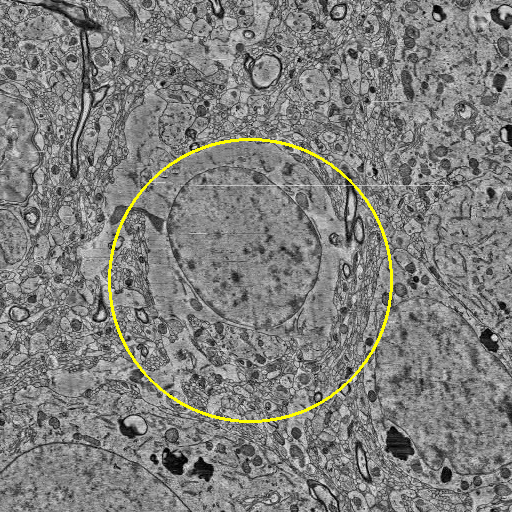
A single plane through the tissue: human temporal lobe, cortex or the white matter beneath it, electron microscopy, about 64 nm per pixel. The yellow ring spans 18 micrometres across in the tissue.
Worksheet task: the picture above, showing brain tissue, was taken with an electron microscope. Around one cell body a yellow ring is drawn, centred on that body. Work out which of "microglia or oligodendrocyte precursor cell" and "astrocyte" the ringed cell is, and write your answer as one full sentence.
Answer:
It is an astrocyte whose cell body lies at the centre of the yellow ring.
